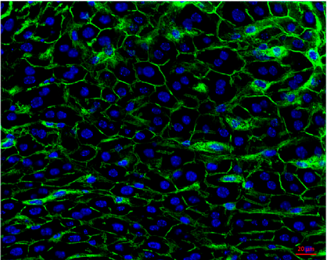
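Hepatocytes of the liver fill the field as polygonal cells whose borders are drawn as thin green lines. Each has a rounded blue nucleus, some cells two, set in dark unstained cytoplasm. Scattered brighter green patches and small elongated cells lie in the narrow gaps between the hepatocyte cords.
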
